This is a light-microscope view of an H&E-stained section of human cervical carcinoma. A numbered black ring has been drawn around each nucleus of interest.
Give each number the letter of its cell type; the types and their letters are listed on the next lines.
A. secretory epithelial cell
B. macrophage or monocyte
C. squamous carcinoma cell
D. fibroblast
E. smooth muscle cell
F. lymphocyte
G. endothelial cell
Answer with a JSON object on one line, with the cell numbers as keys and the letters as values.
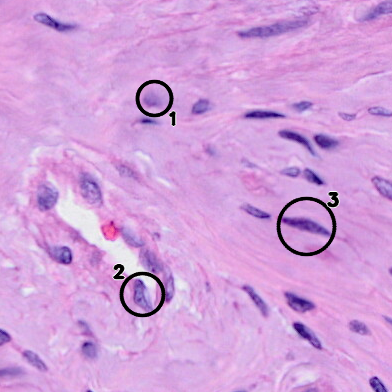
{"1": "D", "2": "G", "3": "D"}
